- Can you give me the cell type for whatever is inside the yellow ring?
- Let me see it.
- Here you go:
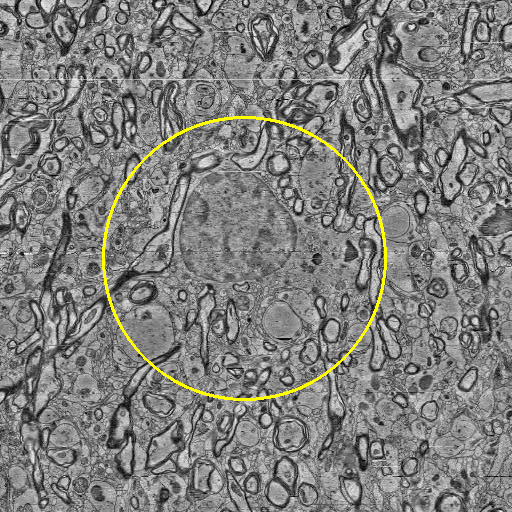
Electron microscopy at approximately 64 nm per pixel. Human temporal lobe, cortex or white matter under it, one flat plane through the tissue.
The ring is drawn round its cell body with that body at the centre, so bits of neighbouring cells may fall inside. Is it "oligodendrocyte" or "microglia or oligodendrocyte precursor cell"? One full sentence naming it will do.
The cell body in the middle of the ring in this picture belongs to an oligodendrocyte.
